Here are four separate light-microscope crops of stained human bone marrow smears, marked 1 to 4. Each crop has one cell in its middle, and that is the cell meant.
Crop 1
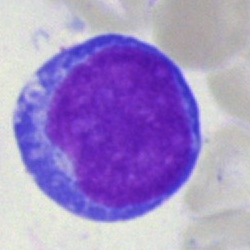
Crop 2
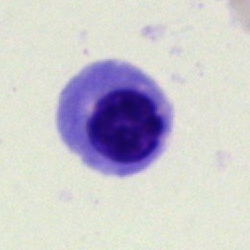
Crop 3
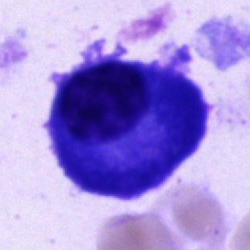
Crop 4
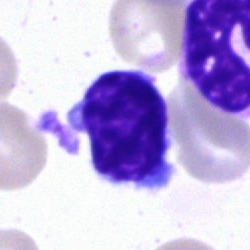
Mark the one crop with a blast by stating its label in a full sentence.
Of these crops, it is crop 1 that shows a blast.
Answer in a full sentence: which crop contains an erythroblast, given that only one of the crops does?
Crop 2 is the crop that shows an erythroblast in its middle.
